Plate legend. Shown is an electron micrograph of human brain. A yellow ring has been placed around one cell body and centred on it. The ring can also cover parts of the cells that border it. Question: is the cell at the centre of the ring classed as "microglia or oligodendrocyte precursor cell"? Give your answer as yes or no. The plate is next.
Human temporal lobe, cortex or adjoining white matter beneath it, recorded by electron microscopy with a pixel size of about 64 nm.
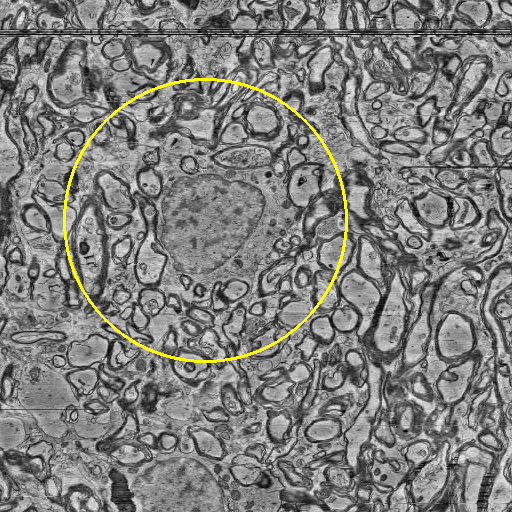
No, the ringed cell is of another kind.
